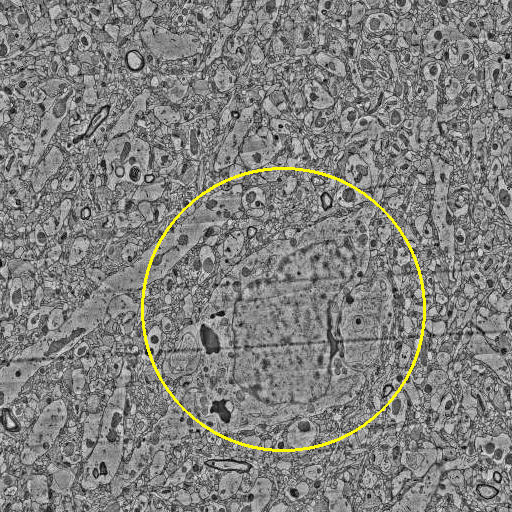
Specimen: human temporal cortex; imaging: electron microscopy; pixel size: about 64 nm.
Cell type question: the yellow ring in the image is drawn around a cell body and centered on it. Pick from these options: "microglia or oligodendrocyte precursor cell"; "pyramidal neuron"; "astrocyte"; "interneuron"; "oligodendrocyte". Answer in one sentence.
The ringed cell at the center is an interneuron.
